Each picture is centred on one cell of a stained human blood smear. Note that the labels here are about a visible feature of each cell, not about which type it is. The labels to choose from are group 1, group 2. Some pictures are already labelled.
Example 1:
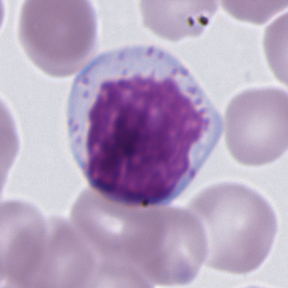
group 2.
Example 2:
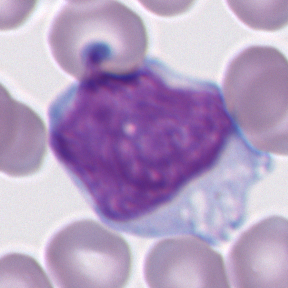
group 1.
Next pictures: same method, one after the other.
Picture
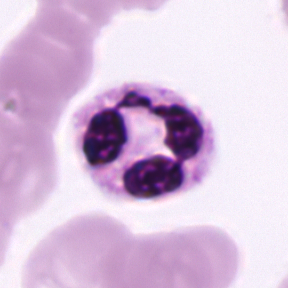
group 2.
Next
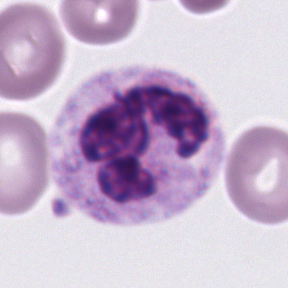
group 2.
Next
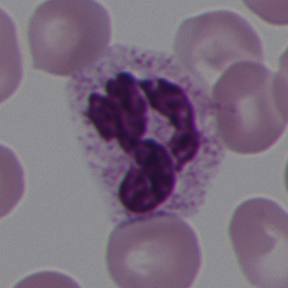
group 1.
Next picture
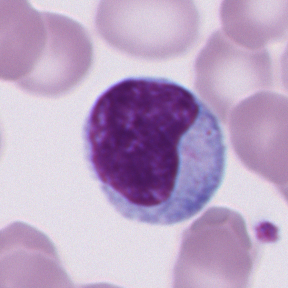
group 2.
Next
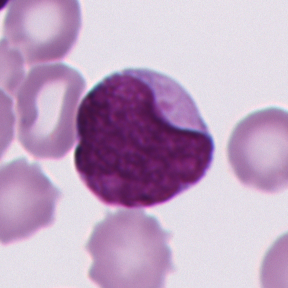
group 2.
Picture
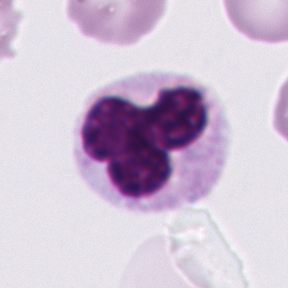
group 2.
